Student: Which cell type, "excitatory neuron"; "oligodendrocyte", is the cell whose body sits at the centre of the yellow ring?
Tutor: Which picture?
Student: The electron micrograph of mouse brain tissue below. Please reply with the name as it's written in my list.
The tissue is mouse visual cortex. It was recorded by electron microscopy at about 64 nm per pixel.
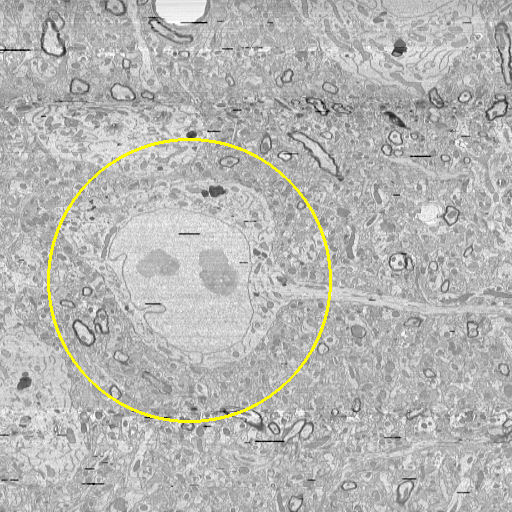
excitatory neuron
